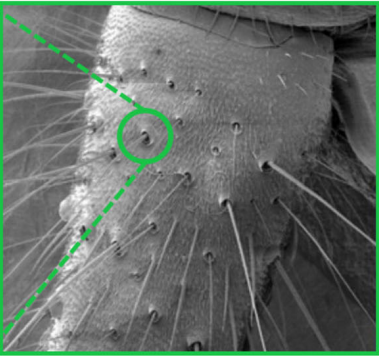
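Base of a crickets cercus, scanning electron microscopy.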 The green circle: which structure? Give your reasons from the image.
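Sockets. The circled spot is a small round pit in the cuticle. Many similar pits are scattered over the surface, several with long hairs emerging.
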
